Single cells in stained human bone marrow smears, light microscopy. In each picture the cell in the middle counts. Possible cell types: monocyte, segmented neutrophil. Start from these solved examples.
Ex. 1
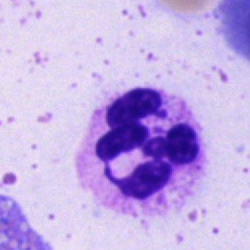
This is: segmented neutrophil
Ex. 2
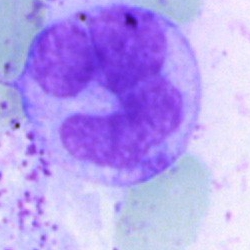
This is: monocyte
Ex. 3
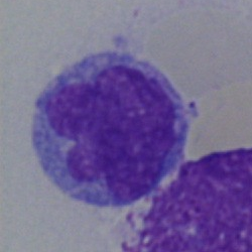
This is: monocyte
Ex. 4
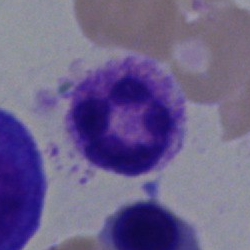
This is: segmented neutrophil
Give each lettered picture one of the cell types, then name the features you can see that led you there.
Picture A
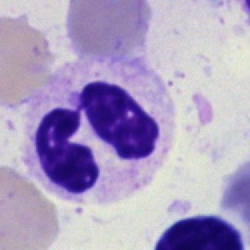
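segmented neutrophil. Reason: The cytoplasm is abundant and pale pinkish-lilac.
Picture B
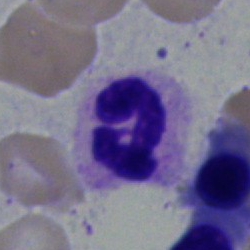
segmented neutrophil. Reason: The cytoplasm is abundant and pale pinkish-lilac.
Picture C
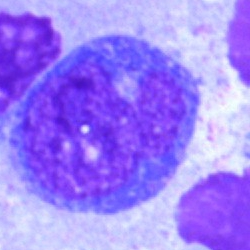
monocyte. Reason: The cytoplasm forms only a thin rim around the nucleus.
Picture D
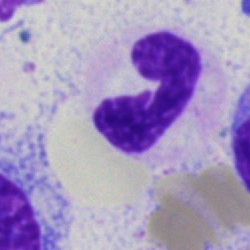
segmented neutrophil. Reason: The cytoplasm is plentiful and pale pinkish-lilac.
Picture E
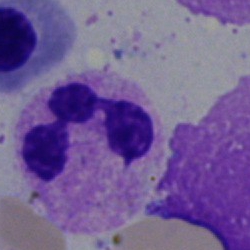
segmented neutrophil. Reason: The cytoplasm is abundant and pale pinkish-lilac.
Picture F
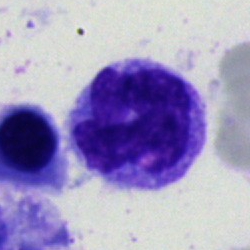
monocyte. Reason: The nucleus fills most of the cell.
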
